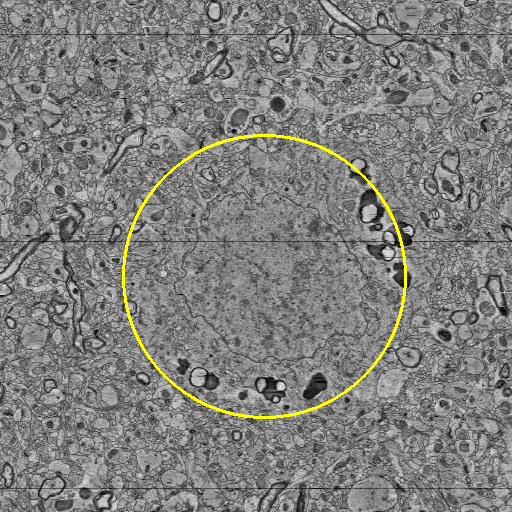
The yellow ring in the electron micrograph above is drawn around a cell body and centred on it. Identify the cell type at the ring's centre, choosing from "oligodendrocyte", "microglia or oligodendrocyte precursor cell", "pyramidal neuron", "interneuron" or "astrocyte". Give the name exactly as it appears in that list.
pyramidal neuron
